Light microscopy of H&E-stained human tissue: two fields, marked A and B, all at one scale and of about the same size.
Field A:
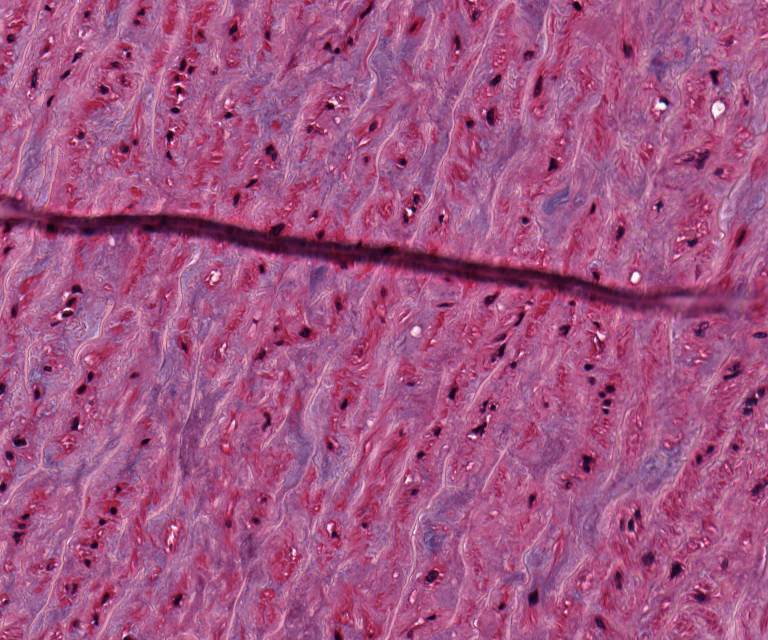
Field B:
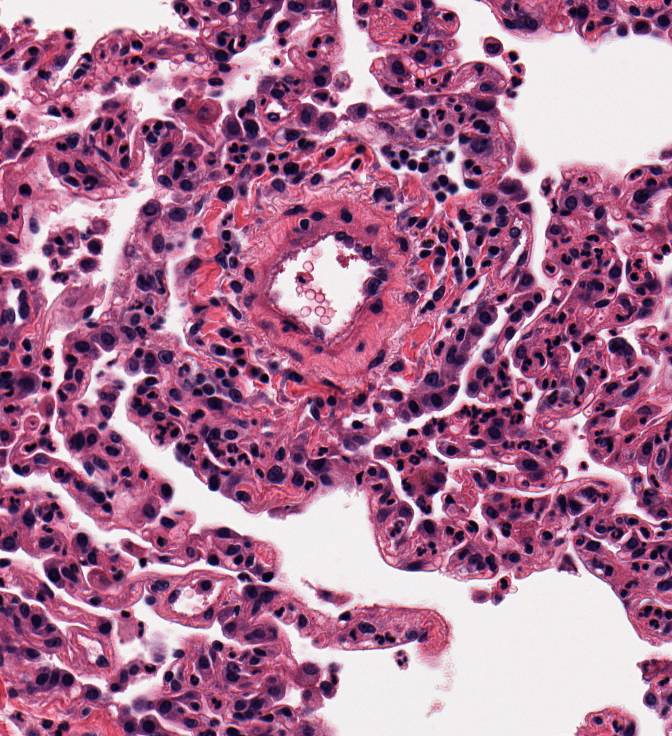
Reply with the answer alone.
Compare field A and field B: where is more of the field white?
B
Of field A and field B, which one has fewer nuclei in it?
A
